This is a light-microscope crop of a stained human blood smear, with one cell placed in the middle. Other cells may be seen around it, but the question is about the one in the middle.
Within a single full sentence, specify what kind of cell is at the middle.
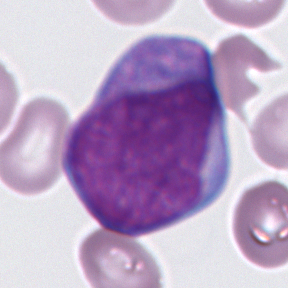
The crop's centre is taken up by an atypical promyelocyte.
